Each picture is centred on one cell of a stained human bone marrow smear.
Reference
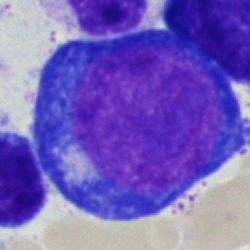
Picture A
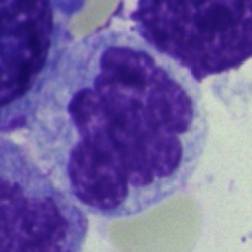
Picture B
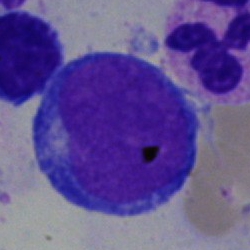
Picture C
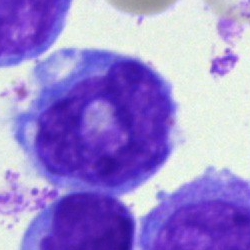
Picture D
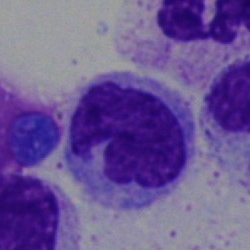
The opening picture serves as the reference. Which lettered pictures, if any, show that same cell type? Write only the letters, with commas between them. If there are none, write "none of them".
B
